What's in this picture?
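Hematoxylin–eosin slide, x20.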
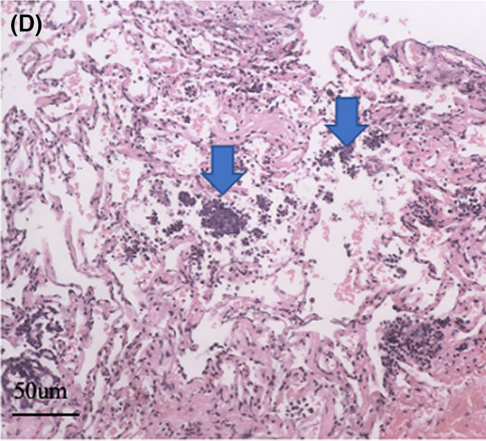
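Lung tissue with thin pink alveolar walls shows several clusters of tumor cells lying within the air spaces. The clusters are dense groups of cells with dark purple, crowded nuclei, some forming small branching or lobulated aggregates. They sit free in the open spaces between the septa. Scattered red blood cells lie in the air spaces.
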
